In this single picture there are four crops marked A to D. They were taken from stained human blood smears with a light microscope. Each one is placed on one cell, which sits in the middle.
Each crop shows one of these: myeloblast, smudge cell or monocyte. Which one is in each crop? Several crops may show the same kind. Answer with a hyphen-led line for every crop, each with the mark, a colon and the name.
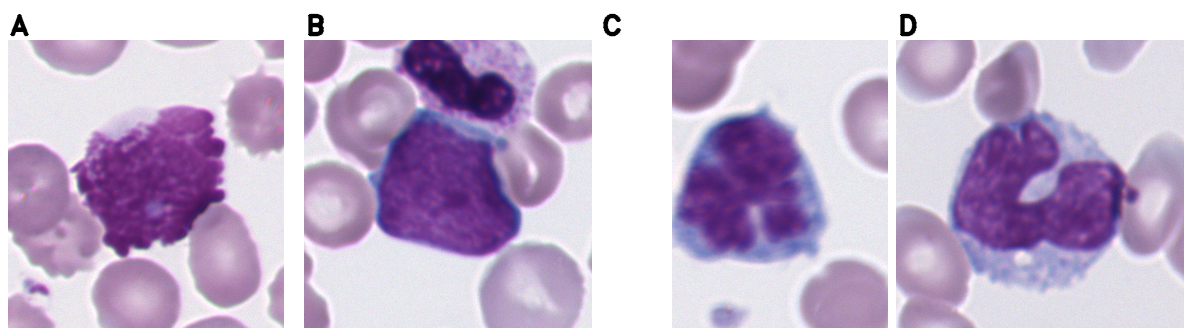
- A: smudge cell
- B: myeloblast
- C: myeloblast
- D: monocyte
